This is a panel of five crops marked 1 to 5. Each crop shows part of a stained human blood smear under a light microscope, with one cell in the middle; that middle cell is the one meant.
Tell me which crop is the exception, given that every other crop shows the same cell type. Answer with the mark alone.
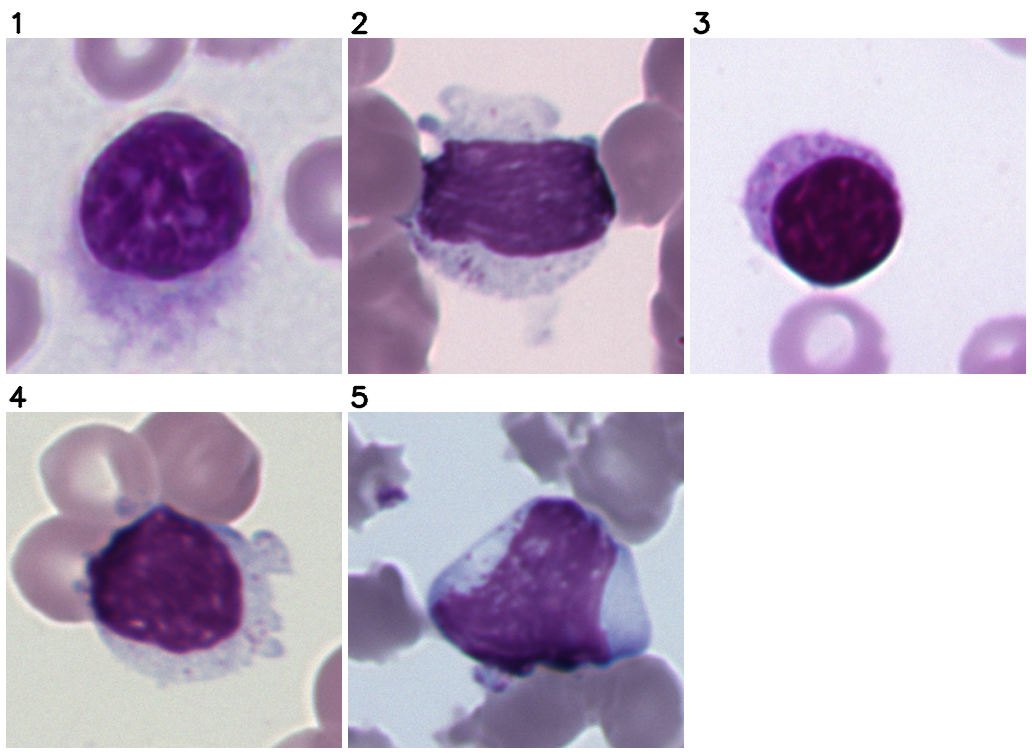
1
